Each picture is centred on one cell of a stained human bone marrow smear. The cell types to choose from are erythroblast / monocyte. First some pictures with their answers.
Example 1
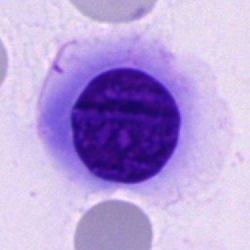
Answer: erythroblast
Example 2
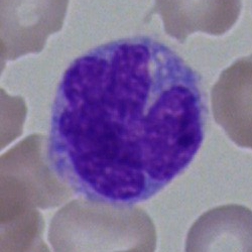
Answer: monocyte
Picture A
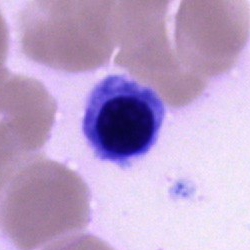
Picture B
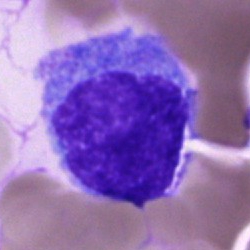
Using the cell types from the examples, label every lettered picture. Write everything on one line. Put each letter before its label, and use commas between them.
A erythroblast, B monocyte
